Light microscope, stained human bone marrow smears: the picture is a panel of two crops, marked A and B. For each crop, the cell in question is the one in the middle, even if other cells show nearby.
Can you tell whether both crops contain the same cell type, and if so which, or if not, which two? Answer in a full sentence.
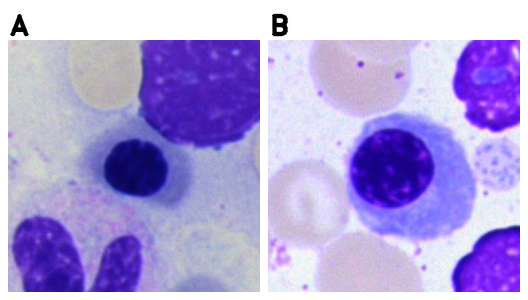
Yes, erythroblasts are present at the centre of both crops.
